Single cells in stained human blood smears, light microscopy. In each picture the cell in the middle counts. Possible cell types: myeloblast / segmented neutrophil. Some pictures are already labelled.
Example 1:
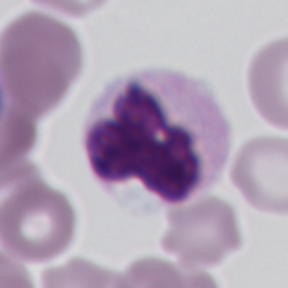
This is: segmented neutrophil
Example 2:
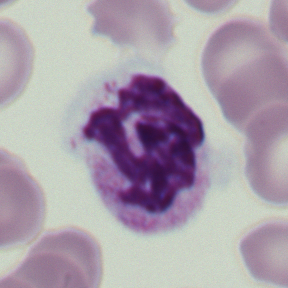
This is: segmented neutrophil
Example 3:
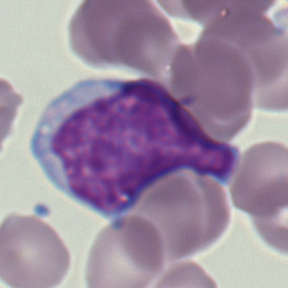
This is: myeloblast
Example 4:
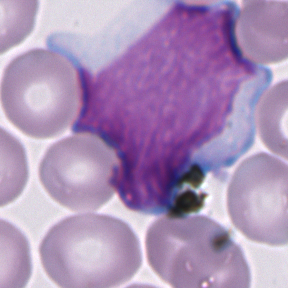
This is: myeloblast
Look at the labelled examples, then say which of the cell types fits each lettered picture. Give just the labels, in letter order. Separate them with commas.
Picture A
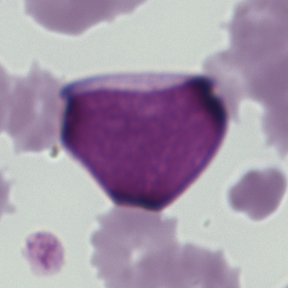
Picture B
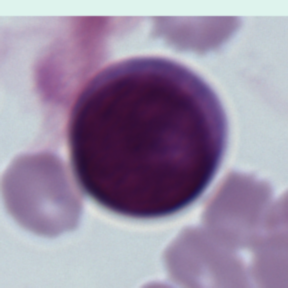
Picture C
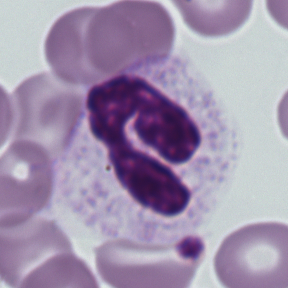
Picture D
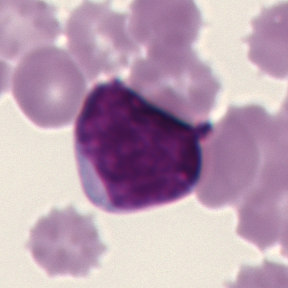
myeloblast, myeloblast, segmented neutrophil, myeloblast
